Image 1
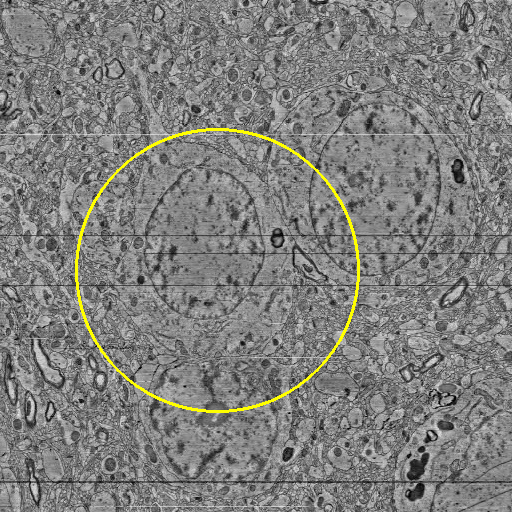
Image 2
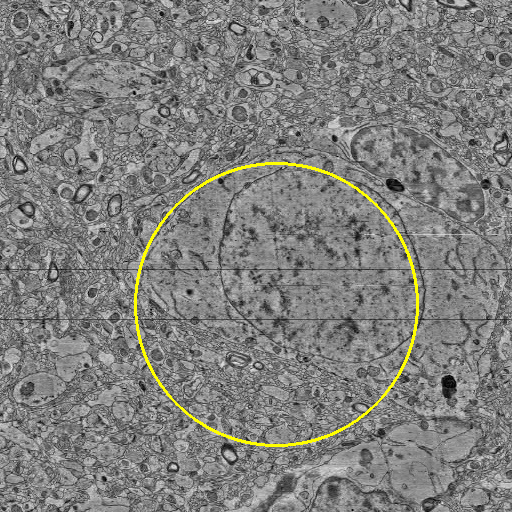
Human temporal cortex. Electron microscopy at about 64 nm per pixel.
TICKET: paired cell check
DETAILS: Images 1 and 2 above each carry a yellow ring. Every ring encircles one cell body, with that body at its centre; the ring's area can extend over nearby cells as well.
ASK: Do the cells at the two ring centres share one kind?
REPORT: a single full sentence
Yes, the ring-centre cells of Images 1 and 2 belong to a single kind.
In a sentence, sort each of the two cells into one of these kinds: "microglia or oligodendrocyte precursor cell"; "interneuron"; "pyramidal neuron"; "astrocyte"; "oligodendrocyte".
The second cell is a pyramidal neuron, just as the first is.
